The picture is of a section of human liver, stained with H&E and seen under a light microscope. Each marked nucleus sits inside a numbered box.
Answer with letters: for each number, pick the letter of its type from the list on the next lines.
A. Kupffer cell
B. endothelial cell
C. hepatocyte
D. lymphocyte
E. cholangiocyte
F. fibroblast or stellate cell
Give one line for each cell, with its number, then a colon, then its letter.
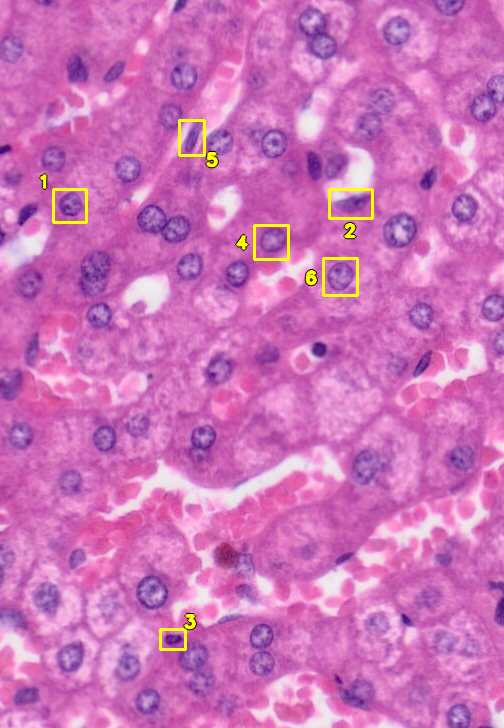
1: C
2: B
3: F
4: C
5: A
6: C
